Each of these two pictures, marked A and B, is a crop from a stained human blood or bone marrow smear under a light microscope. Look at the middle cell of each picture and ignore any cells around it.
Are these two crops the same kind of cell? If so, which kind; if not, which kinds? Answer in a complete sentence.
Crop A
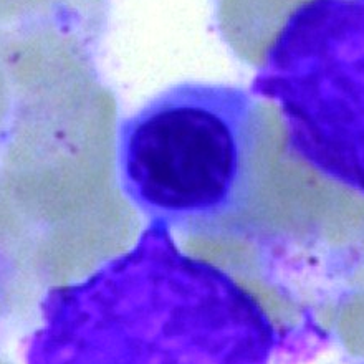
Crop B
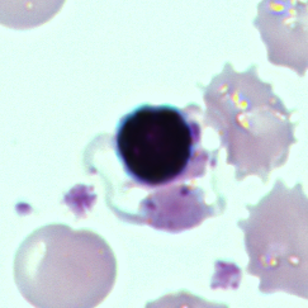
Yes, both crops alike show erythroblasts at the centre.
